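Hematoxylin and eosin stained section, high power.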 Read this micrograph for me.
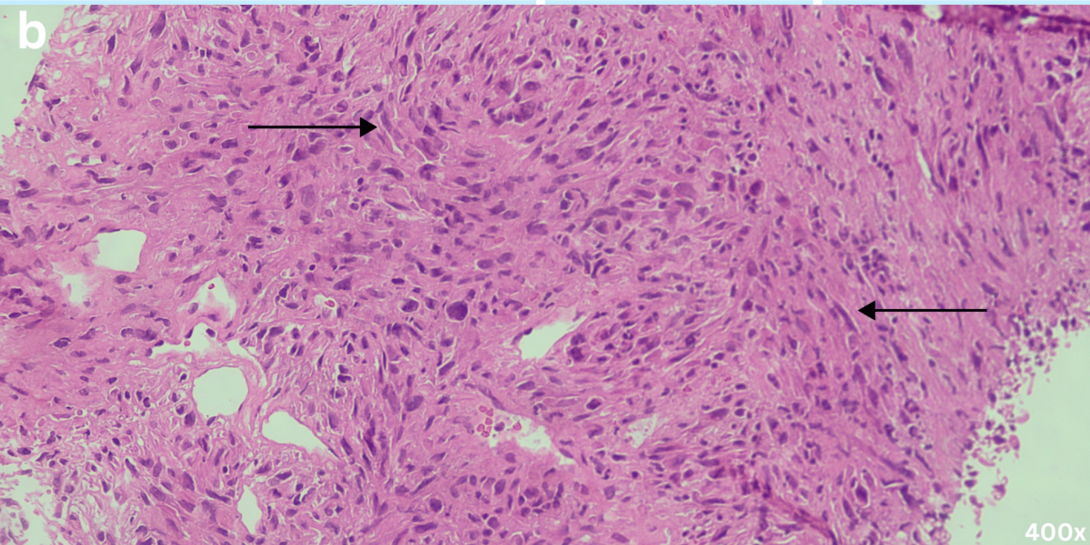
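Densely cellular neoplasm of atypical spindle cells with pink eosinophilic cytoplasm arranged in crowded sheets and streaming bundles. Nuclei are enlarged, dark purple and markedly variable in size and shape, with some large bizarre forms. Scattered small open vascular spaces lie among the cells.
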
